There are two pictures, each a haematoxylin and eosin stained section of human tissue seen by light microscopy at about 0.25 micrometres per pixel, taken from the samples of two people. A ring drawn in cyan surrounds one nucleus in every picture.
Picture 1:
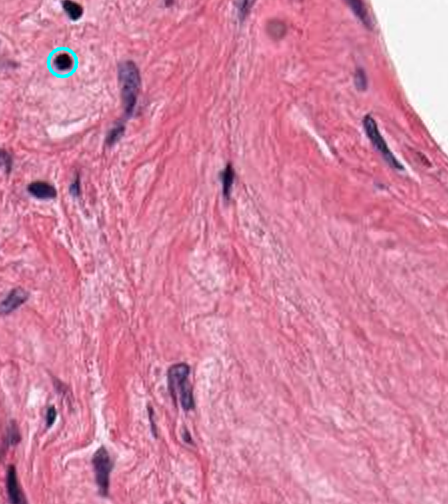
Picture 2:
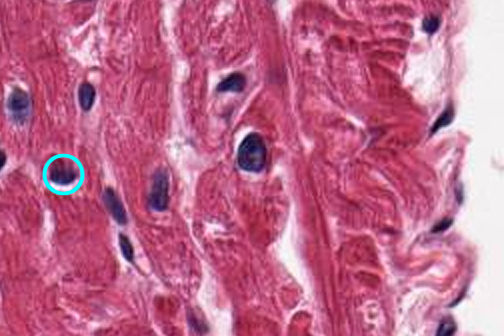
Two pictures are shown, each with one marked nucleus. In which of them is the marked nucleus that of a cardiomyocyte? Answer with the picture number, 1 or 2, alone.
2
